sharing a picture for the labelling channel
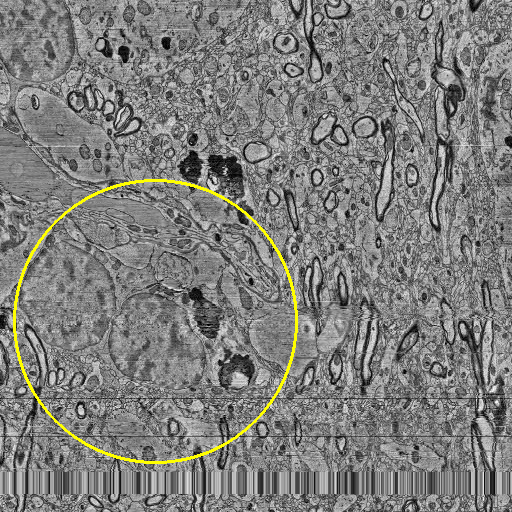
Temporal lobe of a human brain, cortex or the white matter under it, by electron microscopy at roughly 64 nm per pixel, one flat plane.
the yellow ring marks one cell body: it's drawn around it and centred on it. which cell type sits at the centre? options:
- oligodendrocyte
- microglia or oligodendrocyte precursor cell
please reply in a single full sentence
In the picture, the cell at the ring's centre is an oligodendrocyte, going by the list.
